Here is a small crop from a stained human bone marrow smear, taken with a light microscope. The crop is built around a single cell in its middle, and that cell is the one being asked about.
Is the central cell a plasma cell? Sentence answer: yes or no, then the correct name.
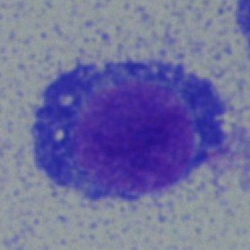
Yes, the cell occupying the center is a plasma cell.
